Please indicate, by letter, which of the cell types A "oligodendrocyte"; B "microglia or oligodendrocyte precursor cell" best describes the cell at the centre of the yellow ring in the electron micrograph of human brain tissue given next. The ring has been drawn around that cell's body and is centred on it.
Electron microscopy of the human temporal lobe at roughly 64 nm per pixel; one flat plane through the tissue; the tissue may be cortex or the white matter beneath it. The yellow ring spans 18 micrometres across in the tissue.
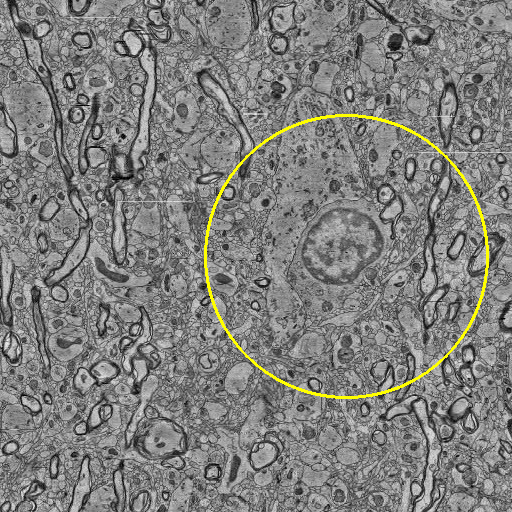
A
